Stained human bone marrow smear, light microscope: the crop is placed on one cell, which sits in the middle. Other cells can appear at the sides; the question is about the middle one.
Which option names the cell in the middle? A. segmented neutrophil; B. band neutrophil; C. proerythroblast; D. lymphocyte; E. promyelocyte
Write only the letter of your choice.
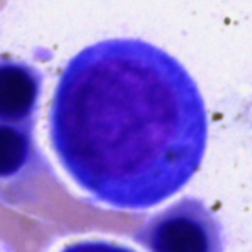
C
